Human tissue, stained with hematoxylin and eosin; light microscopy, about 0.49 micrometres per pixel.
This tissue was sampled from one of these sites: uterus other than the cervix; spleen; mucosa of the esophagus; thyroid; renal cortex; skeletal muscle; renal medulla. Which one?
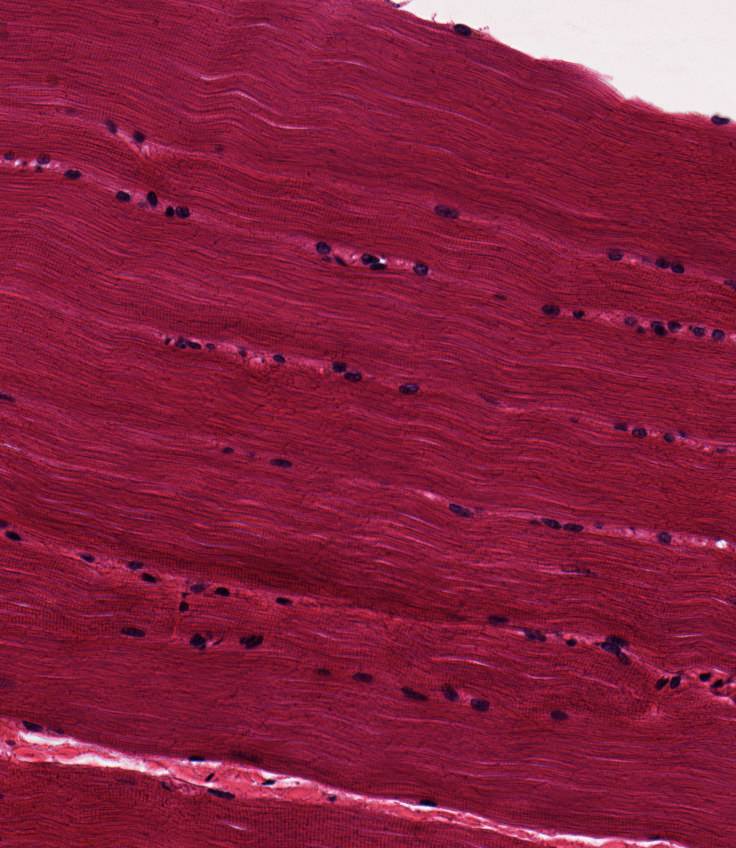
skeletal muscle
